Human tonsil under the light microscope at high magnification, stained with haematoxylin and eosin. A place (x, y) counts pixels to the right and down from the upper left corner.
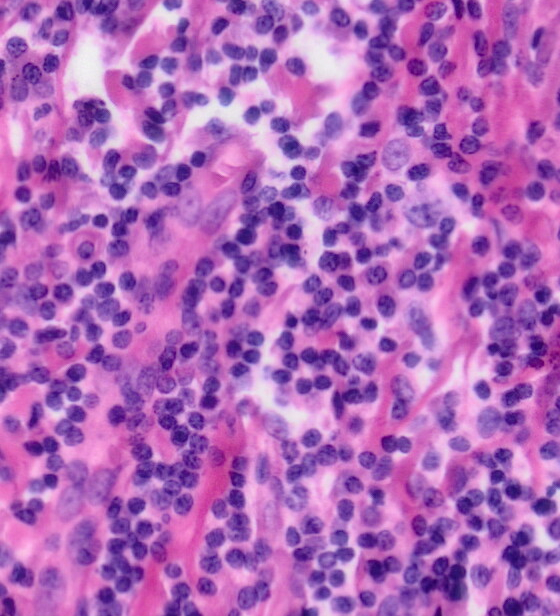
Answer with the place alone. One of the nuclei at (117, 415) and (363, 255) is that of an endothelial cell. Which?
(117, 415)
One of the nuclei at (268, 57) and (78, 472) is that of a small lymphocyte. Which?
(268, 57)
